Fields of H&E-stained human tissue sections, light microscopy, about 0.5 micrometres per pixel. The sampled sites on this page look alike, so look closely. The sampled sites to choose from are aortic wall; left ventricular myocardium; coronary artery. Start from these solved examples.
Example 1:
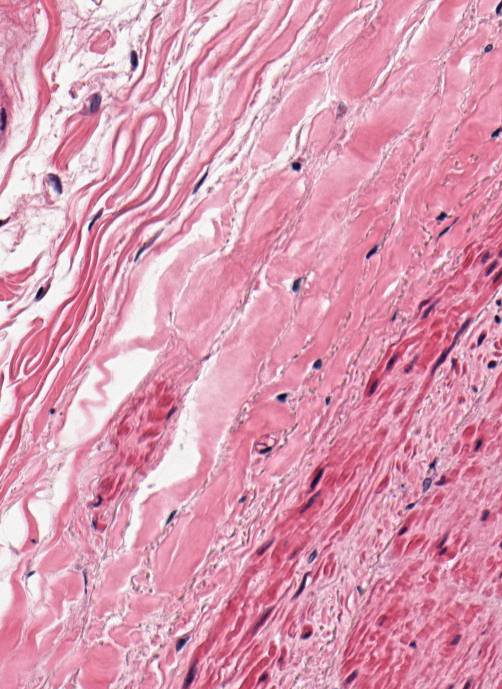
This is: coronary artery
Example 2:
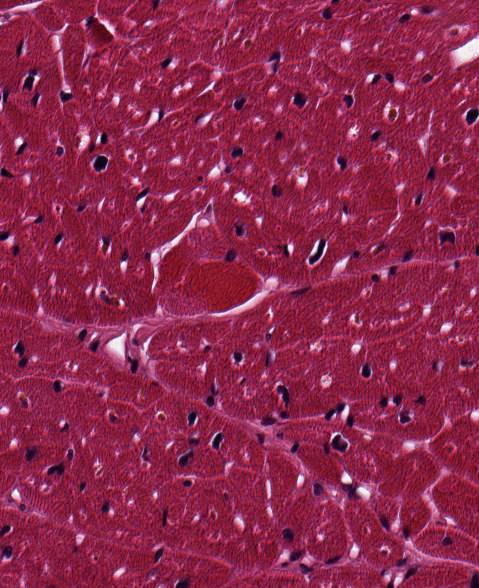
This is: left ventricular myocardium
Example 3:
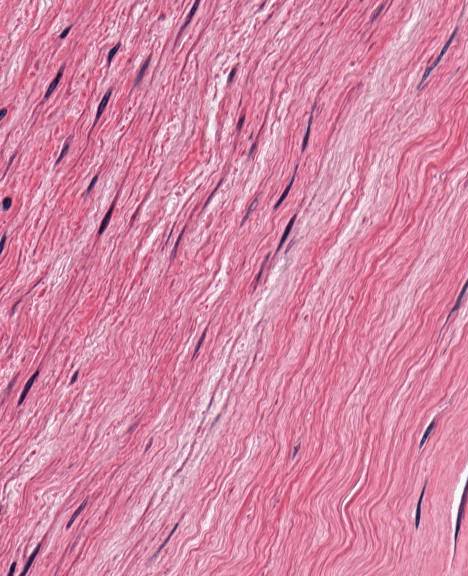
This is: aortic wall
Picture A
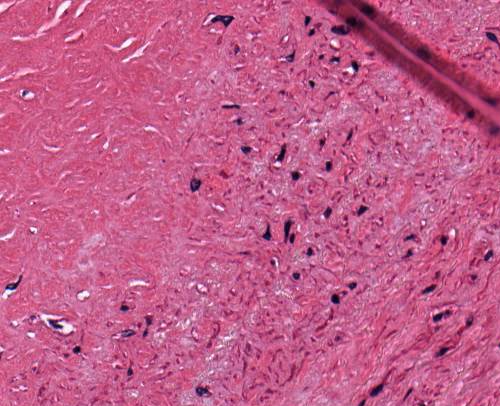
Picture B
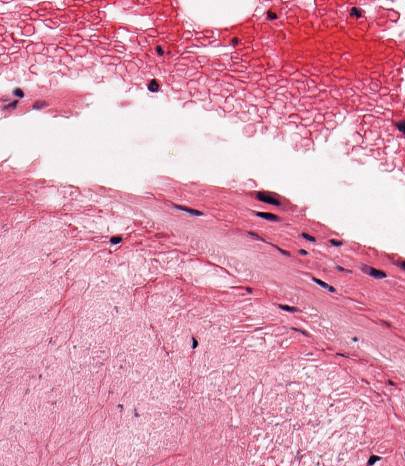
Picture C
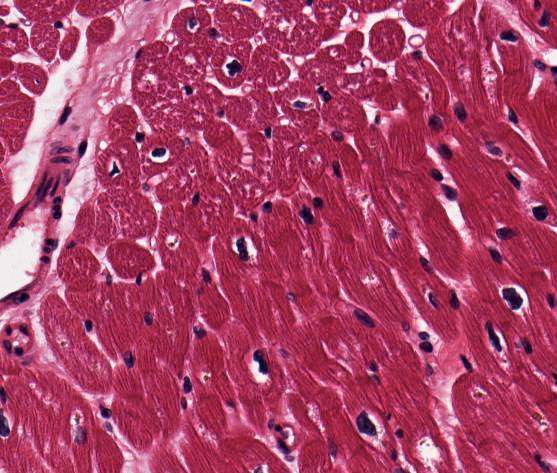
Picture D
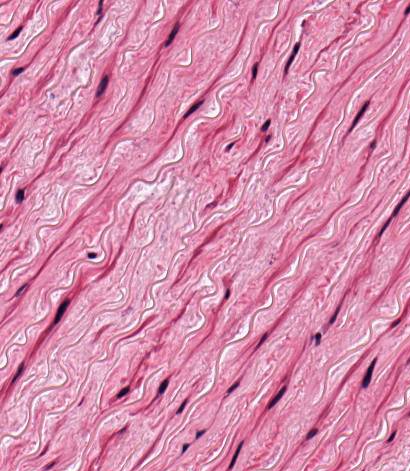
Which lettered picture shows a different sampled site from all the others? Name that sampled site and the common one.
C differs and shows left ventricular myocardium; the others show aortic wall.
